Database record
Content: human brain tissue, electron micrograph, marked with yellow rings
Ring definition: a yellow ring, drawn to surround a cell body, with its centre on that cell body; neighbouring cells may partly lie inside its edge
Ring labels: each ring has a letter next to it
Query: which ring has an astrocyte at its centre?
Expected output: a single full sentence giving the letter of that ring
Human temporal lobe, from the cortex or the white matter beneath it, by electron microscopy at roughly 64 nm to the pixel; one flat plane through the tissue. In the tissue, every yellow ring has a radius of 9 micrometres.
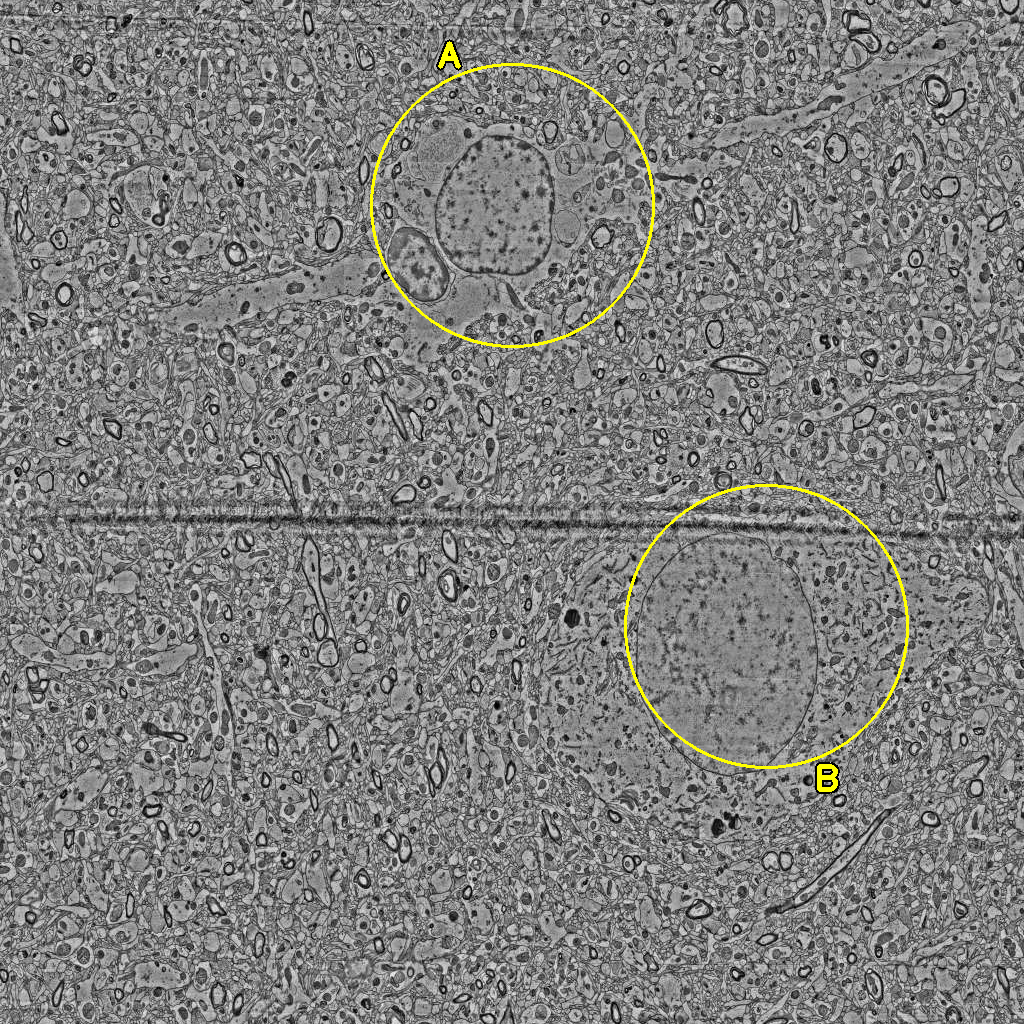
In the picture, the cell being queried lies at the centre of ring A.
